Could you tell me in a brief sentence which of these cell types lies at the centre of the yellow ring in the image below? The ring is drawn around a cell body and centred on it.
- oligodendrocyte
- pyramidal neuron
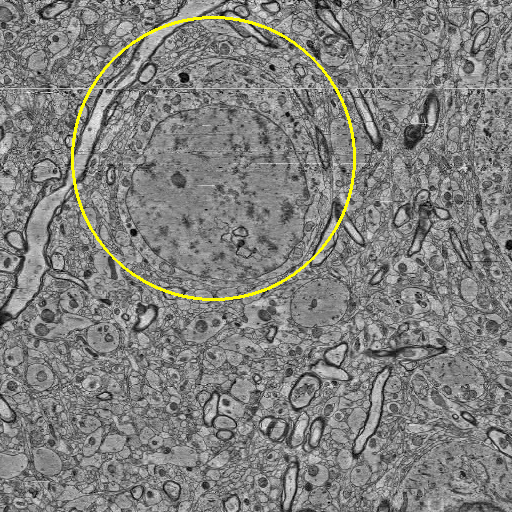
The cell centred in the ring is a pyramidal neuron.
